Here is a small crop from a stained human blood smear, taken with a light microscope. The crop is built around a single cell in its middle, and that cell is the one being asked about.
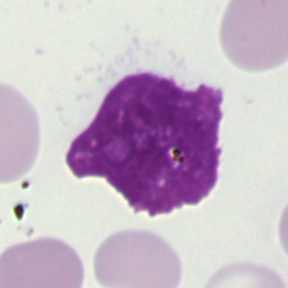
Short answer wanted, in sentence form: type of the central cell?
The crop centres on a single cell, and that cell is a smudge cell.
